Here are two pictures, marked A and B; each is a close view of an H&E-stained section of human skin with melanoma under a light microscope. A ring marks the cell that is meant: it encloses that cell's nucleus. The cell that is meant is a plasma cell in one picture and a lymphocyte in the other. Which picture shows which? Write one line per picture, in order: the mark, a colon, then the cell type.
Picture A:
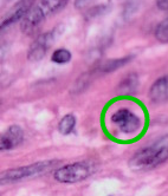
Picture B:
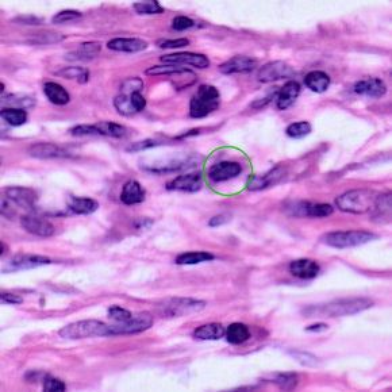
A: lymphocyte
B: plasma cell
